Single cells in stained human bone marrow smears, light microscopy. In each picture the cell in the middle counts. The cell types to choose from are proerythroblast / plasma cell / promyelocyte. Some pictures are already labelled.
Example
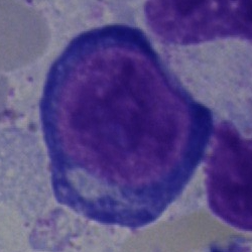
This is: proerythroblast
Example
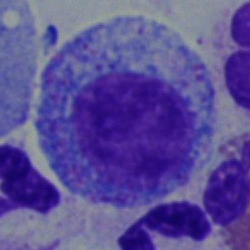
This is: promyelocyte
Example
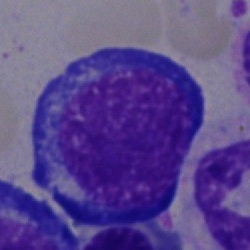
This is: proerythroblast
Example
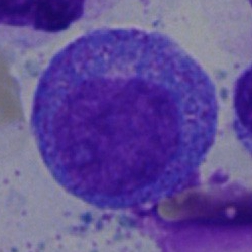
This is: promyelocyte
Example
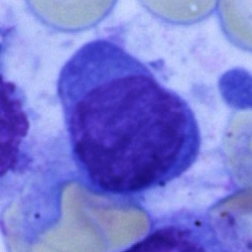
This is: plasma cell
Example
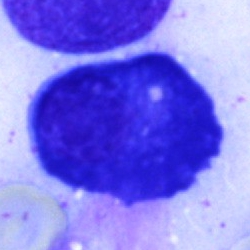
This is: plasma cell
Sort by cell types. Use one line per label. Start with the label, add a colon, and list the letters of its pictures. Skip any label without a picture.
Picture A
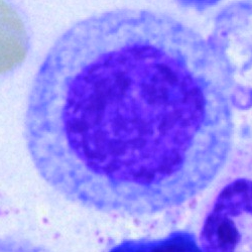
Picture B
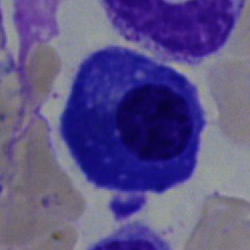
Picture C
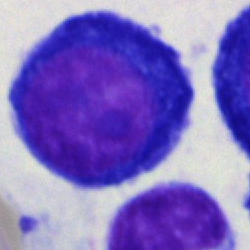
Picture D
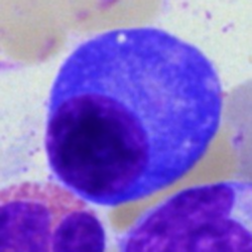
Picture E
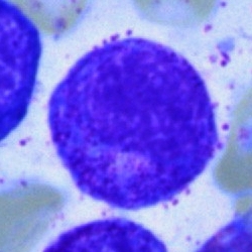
proerythroblast: C
plasma cell: B, D
promyelocyte: A, E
